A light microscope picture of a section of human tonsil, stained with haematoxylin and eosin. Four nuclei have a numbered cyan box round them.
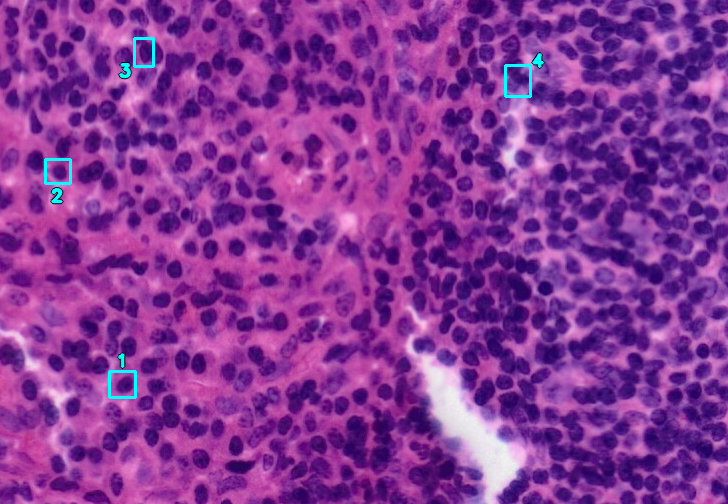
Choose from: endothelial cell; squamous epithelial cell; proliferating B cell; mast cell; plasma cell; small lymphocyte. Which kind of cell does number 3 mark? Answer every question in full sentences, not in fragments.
As for number 3, that cell is a plasma cell.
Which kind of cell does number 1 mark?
Identified by the number 1, the cell is a plasma cell.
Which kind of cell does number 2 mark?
The correct label for cell 2 is a plasma cell.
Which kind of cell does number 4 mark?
Cell 4, as marked in the section, is a small lymphocyte.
